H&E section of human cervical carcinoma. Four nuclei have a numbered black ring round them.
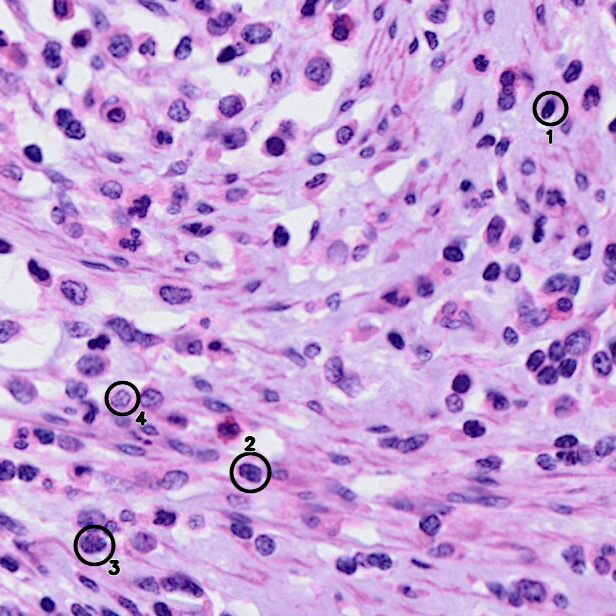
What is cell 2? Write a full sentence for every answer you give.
Here the cell numbered 2 is a lymphocyte.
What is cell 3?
In this section, the cell tagged 3 is a lymphocyte.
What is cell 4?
The nucleus marked 4 is the nucleus of a macrophage or monocyte.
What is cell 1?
In the marked set, the cell given number 1 is a lymphocyte.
